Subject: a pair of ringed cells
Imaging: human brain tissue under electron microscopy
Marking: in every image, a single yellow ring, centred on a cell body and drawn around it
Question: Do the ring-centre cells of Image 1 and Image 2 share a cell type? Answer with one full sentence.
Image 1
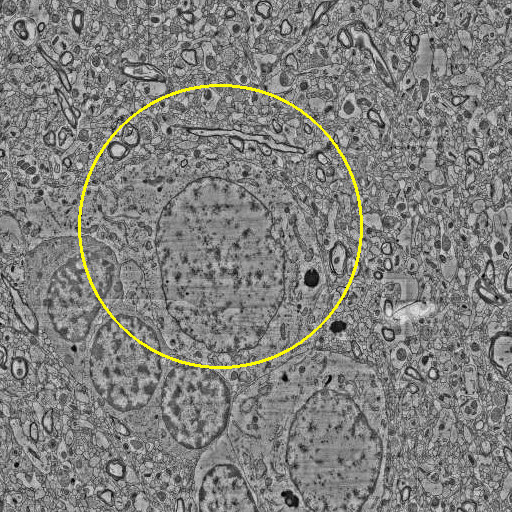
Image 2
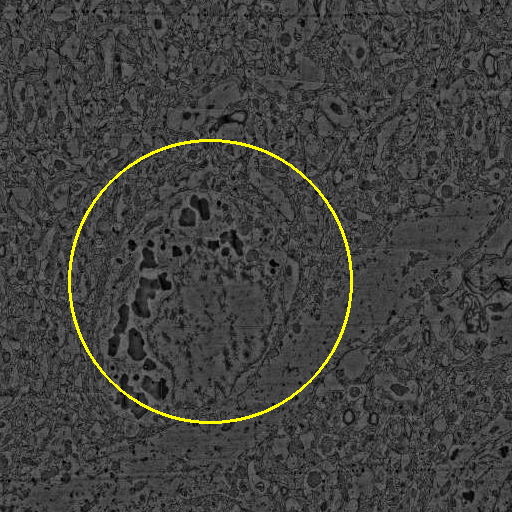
No, at the ring centres in the images sit cells of two separate types.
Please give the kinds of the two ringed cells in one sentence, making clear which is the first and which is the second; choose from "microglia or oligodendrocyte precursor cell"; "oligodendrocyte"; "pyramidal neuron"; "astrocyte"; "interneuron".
In the second picture the ringed cell is an interneuron; in the first it is a pyramidal neuron.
